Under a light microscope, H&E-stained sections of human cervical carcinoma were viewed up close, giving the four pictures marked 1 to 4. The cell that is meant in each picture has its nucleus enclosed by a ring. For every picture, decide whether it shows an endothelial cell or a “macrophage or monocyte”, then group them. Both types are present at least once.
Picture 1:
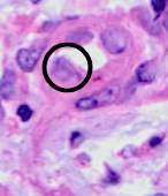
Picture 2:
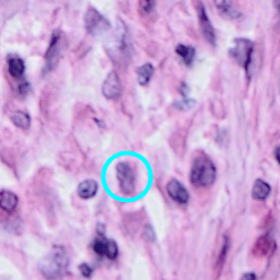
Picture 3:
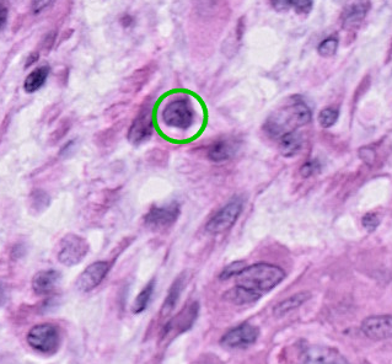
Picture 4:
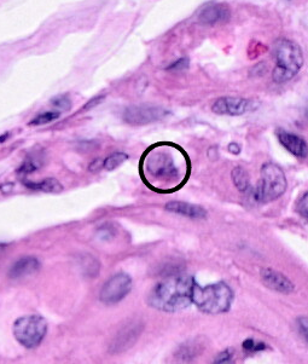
1: endothelial cell
2: macrophage or monocyte
3: macrophage or monocyte
4: macrophage or monocyte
